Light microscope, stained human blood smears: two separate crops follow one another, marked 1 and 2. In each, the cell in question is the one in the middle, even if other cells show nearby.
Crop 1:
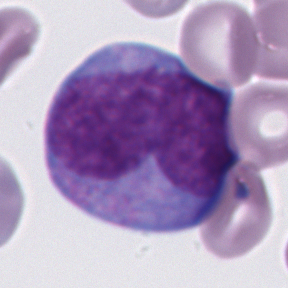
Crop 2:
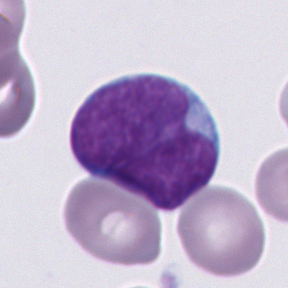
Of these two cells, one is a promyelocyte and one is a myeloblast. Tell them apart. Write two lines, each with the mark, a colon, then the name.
1: promyelocyte
2: myeloblast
